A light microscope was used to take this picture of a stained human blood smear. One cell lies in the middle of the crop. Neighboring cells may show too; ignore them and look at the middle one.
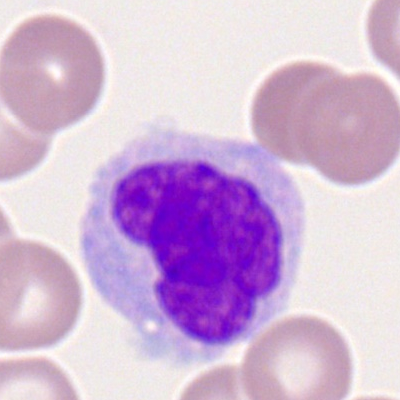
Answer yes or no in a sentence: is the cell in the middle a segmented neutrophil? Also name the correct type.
No; rather than a segmented neutrophil, the cell at the center is a monocyte.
